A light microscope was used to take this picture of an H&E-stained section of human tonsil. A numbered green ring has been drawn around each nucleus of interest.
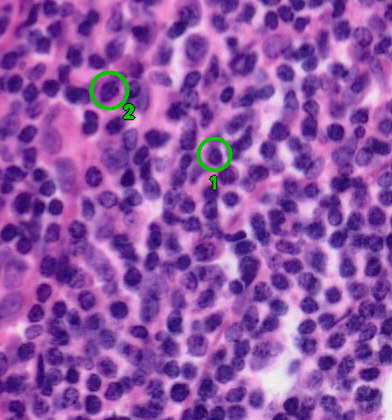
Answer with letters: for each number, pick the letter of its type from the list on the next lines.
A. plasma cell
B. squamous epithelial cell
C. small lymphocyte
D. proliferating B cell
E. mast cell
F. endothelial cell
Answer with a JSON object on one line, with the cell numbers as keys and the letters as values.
{"1": "C", "2": "A"}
